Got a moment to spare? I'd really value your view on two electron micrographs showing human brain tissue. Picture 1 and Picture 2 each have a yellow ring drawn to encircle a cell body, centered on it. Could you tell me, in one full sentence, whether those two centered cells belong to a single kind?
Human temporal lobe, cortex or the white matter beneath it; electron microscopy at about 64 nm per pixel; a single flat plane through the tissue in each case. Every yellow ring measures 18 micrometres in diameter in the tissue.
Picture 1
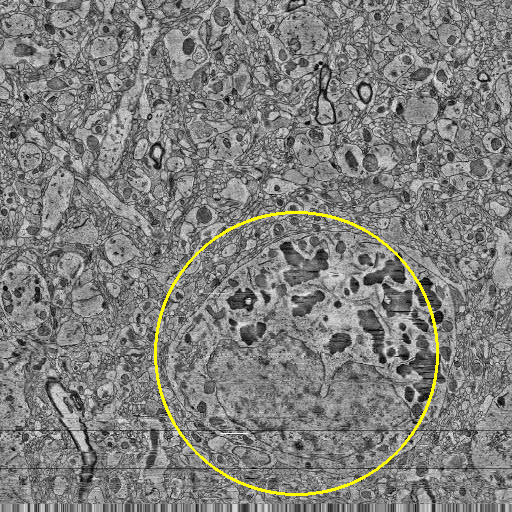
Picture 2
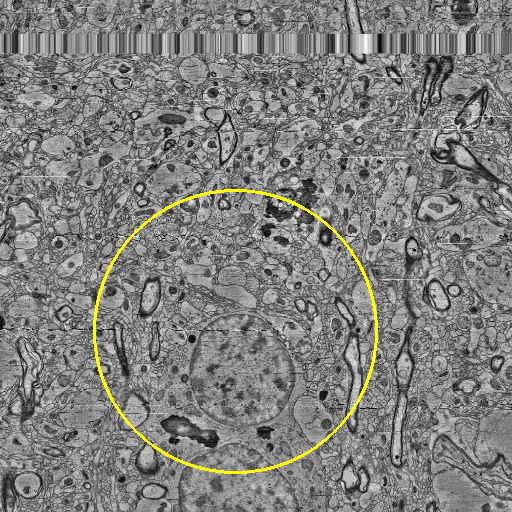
No, the two centered cells in Picture 1 and Picture 2 are of two kinds.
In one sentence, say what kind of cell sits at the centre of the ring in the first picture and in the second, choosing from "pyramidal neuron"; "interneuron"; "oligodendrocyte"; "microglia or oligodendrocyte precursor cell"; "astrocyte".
The first picture's ringed cell is an interneuron, while the second picture's is an oligodendrocyte.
